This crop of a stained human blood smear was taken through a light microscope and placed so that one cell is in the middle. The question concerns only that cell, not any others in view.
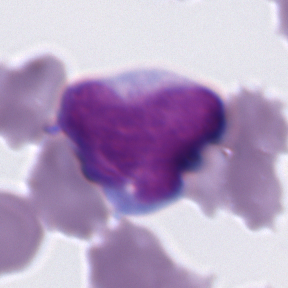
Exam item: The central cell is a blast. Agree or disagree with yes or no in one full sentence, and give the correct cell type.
Yes, in the centre of this field sits a blast.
